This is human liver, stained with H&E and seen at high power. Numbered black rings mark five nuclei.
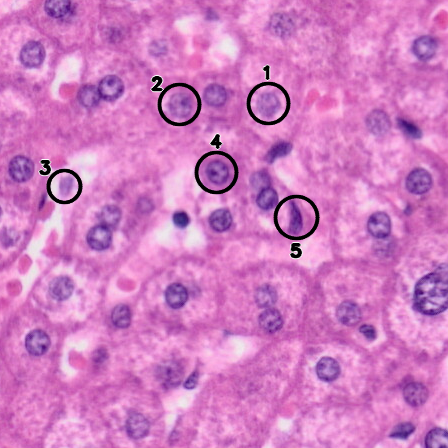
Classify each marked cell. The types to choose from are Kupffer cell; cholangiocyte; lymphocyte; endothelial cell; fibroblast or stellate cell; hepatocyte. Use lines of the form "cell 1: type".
cell 1: hepatocyte
cell 2: hepatocyte
cell 3: Kupffer cell
cell 4: hepatocyte
cell 5: fibroblast or stellate cell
